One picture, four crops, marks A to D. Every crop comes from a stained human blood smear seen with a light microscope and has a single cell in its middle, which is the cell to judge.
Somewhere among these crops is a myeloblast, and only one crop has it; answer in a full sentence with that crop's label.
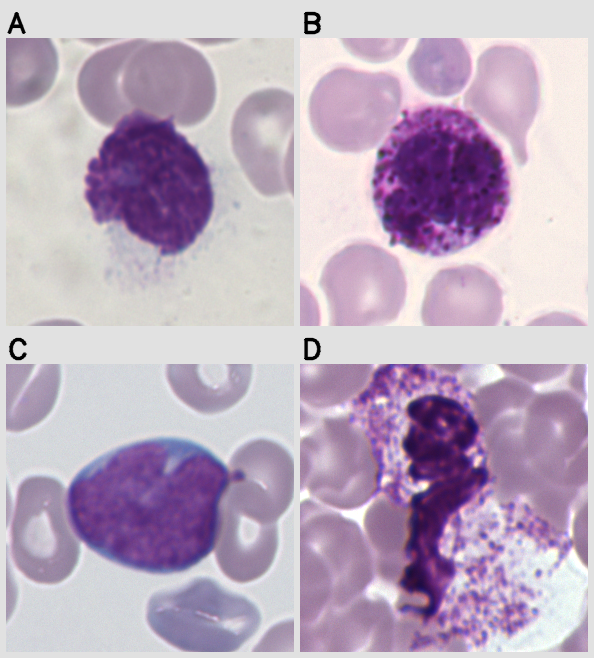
The crop in which a myeloblast is shown is crop C.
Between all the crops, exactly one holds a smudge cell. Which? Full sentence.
Among the crops given, only crop A shows a smudge cell.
